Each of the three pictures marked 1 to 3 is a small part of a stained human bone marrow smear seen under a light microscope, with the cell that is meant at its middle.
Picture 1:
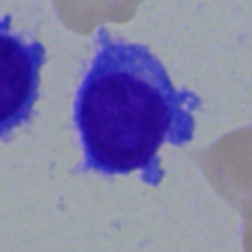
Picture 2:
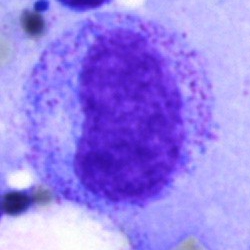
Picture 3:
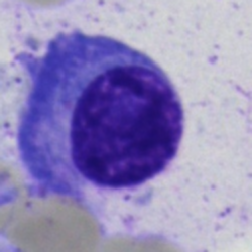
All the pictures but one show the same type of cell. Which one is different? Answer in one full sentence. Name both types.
All pictures except 2 show plasma cells; picture 2 shows a myelocyte.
